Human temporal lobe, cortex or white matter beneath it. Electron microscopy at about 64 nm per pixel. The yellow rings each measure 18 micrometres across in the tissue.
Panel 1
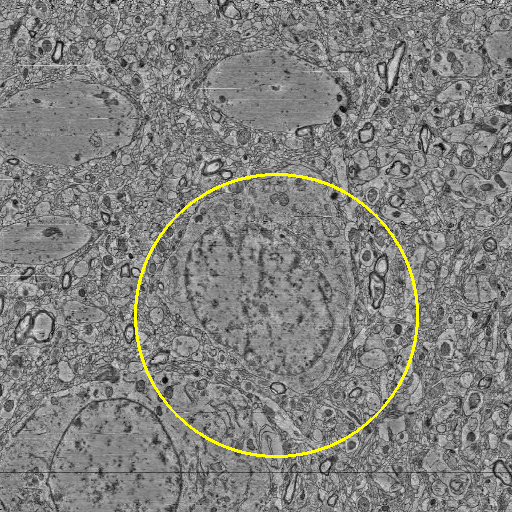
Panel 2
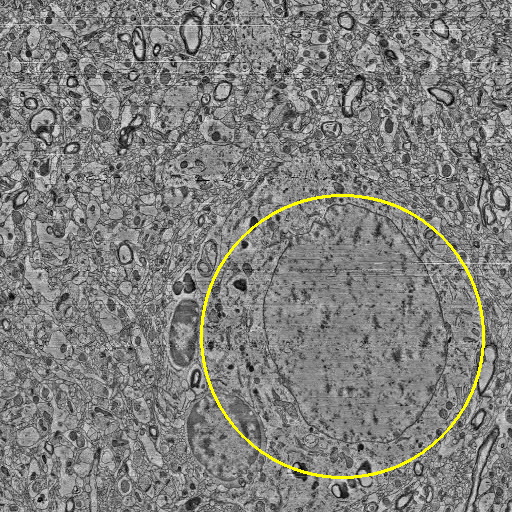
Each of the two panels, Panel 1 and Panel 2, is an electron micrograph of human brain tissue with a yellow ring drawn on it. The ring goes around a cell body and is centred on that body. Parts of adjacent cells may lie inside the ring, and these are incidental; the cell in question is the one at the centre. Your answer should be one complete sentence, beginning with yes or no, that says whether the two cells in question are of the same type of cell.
No, the two cells are of two types.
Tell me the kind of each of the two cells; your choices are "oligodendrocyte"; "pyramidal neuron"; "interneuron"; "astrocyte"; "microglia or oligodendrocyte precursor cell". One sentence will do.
The ringed cell is an interneuron in the first picture and a pyramidal neuron in the second picture.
